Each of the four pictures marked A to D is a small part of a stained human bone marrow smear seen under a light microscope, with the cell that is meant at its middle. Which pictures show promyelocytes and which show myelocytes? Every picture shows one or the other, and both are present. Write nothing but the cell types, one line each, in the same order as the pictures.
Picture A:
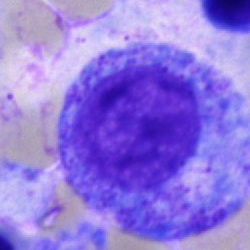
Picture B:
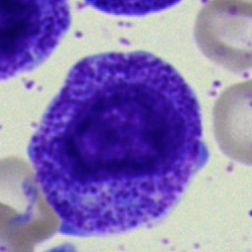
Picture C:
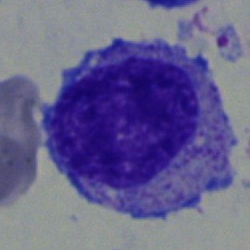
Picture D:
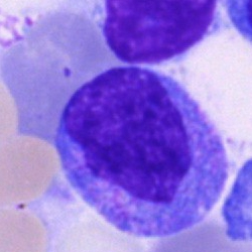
promyelocyte
myelocyte
myelocyte
promyelocyte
